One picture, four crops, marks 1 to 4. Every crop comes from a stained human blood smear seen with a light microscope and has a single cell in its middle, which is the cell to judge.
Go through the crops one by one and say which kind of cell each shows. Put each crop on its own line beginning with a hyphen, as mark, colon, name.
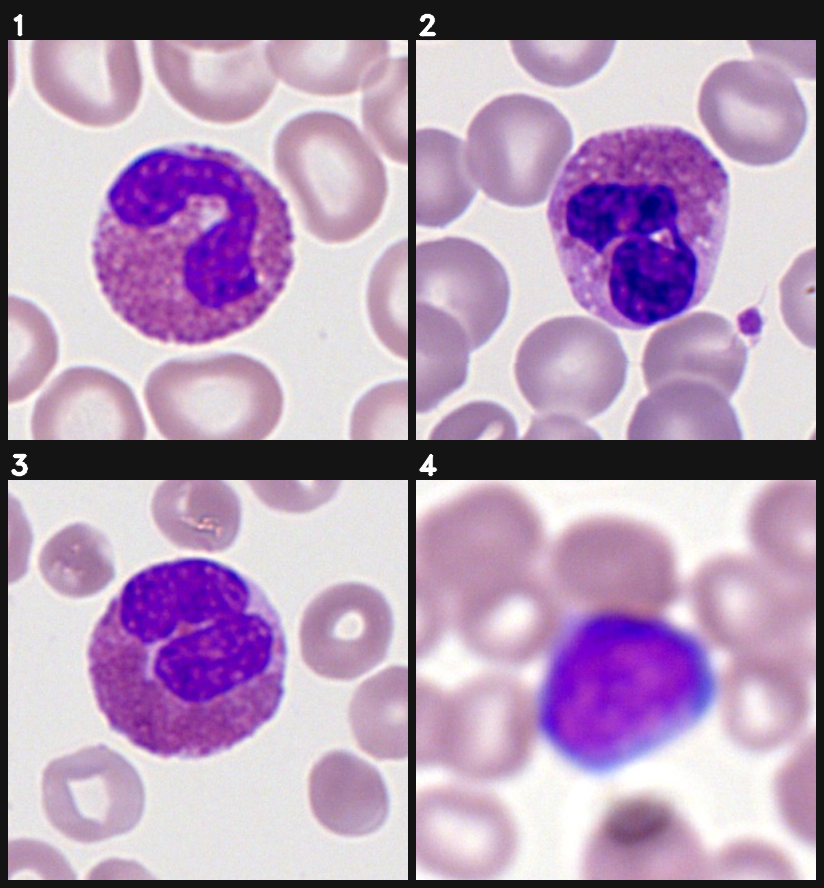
- 1: eosinophil
- 2: eosinophil
- 3: eosinophil
- 4: blast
